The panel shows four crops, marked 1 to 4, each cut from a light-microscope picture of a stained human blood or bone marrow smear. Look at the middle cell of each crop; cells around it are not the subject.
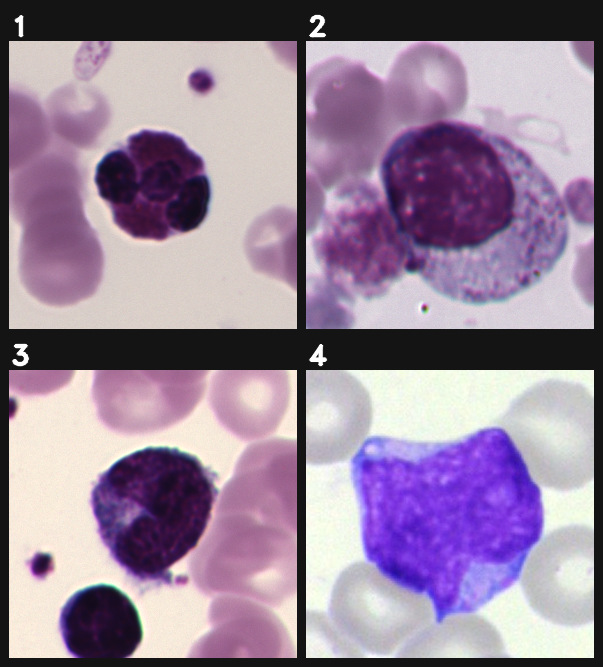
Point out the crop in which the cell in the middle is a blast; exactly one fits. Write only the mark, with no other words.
4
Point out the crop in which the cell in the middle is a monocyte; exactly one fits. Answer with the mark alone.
3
